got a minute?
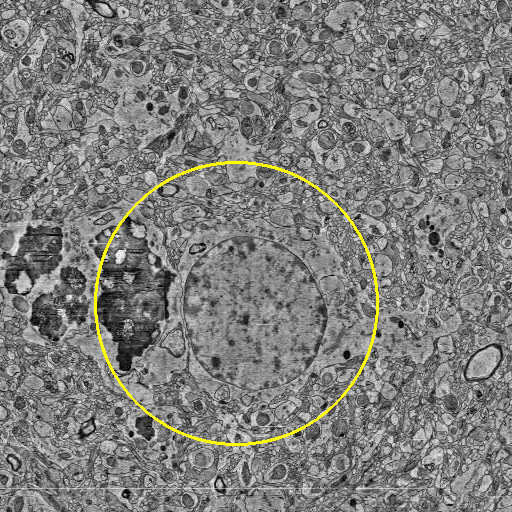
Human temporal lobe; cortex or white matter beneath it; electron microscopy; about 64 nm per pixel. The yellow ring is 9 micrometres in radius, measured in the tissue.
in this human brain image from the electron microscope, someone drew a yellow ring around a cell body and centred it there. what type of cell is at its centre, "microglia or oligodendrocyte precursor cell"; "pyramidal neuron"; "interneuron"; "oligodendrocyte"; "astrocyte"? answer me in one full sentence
It's an astrocyte at the middle of that yellow ring in the shot.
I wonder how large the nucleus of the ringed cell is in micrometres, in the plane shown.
In this plane, approximately 10 micrometres across.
